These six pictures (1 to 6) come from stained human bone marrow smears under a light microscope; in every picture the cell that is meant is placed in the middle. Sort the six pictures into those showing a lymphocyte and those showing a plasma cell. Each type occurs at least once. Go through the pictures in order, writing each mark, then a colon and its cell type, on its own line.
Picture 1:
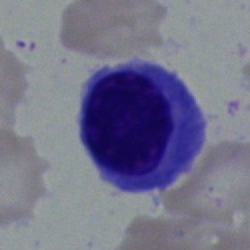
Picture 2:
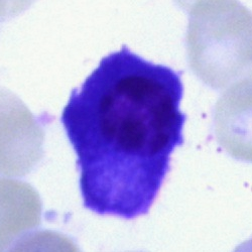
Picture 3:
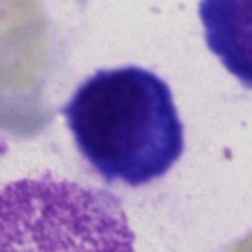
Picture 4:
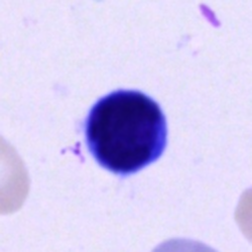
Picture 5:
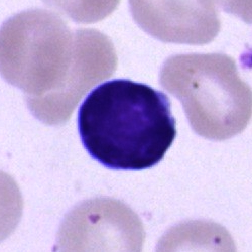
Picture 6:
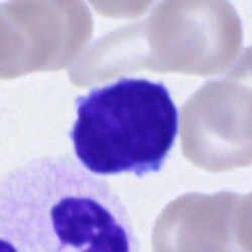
1: plasma cell
2: plasma cell
3: plasma cell
4: lymphocyte
5: lymphocyte
6: lymphocyte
